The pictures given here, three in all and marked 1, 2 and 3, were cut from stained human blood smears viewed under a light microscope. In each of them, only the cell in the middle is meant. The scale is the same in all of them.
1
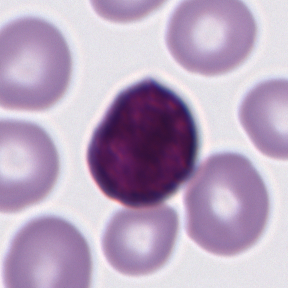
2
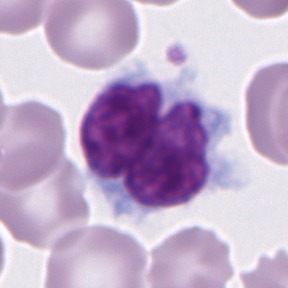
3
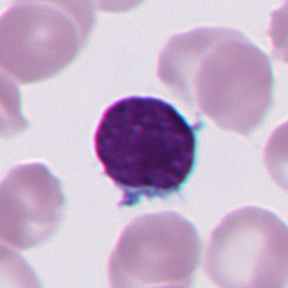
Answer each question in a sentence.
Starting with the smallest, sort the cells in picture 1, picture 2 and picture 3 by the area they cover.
Smallest first: 3, 1, 2.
